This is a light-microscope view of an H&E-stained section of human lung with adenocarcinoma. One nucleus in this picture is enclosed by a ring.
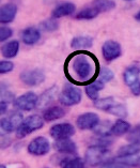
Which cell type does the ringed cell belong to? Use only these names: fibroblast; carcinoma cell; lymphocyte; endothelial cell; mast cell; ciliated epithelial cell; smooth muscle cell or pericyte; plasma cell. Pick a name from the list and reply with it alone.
lymphocyte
